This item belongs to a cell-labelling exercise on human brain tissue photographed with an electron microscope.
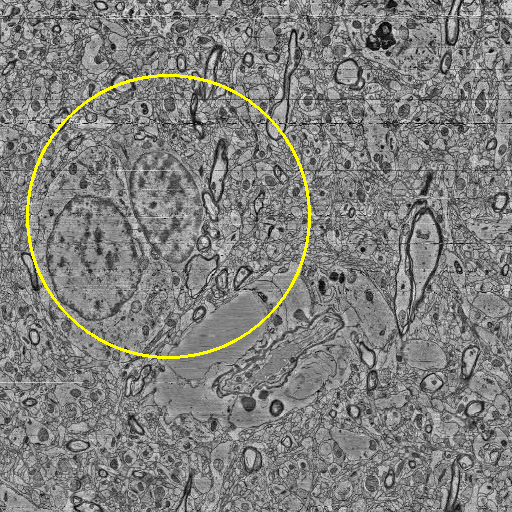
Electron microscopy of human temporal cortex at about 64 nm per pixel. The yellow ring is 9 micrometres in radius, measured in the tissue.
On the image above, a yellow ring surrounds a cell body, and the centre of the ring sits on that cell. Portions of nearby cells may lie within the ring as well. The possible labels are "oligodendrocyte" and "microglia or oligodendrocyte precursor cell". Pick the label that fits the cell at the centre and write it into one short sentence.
This cell should be labelled as an oligodendrocyte.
